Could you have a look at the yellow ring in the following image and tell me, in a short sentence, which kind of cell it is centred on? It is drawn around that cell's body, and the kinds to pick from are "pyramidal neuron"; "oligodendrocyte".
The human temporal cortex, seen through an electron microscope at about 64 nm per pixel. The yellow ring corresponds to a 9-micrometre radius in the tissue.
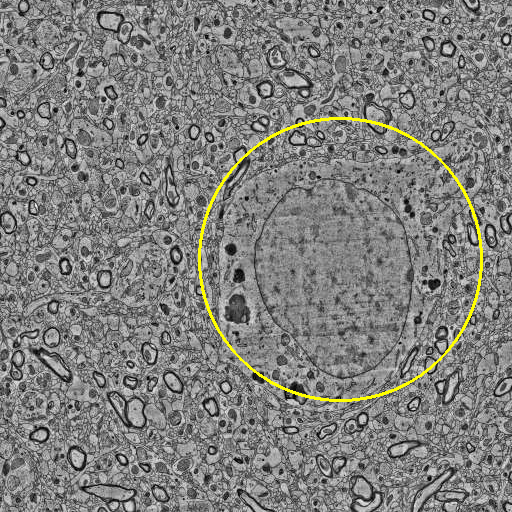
The ring is centred on the body of a pyramidal neuron.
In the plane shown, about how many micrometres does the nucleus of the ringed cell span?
The nucleus appears roughly 13 by 10 micrometres in this plane.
